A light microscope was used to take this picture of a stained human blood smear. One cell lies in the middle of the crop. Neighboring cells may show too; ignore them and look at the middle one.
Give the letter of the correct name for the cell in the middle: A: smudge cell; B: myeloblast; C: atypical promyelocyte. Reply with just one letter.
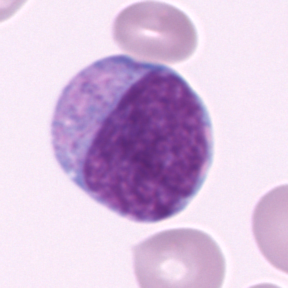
C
